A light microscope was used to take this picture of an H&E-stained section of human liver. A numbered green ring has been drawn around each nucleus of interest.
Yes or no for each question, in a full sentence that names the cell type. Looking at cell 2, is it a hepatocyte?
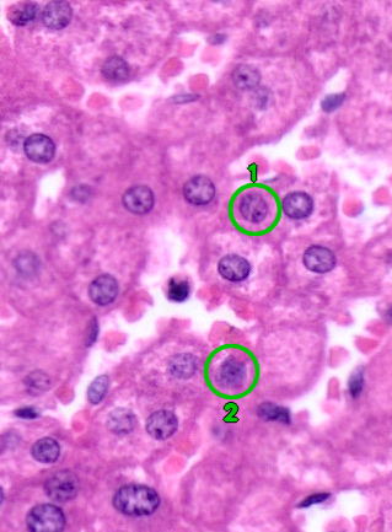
No, the cell at number 2 is an endothelial cell instead of a hepatocyte.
